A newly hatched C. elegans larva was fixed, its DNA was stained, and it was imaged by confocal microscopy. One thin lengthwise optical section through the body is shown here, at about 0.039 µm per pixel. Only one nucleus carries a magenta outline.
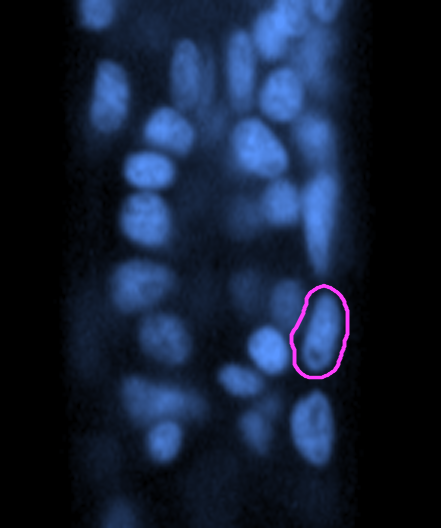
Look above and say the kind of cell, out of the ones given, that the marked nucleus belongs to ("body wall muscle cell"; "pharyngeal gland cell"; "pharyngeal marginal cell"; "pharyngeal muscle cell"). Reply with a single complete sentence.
The marked nucleus is that of a body wall muscle cell.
